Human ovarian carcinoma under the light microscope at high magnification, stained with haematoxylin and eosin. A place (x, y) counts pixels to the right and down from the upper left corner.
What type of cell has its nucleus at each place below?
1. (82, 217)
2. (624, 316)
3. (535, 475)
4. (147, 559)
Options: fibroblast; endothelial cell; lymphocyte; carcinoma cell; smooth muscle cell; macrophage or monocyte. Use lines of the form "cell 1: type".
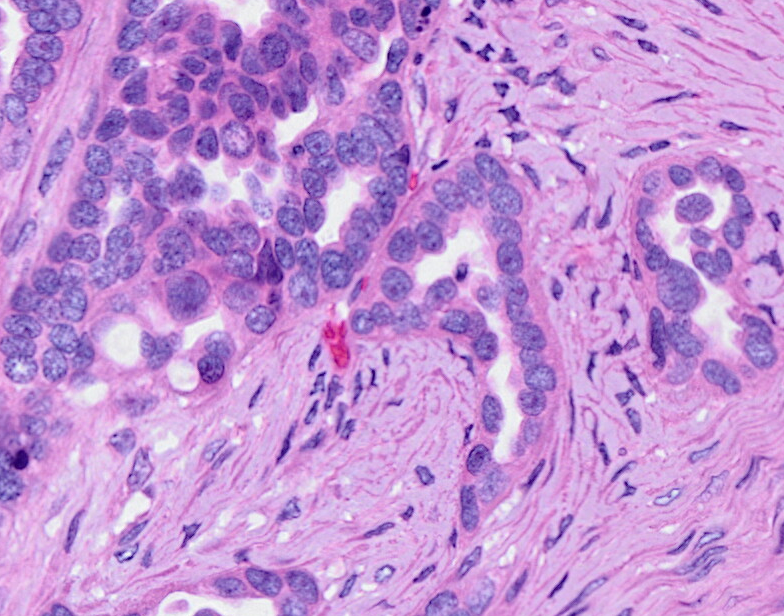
cell 1: carcinoma cell
cell 2: fibroblast
cell 3: fibroblast
cell 4: fibroblast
